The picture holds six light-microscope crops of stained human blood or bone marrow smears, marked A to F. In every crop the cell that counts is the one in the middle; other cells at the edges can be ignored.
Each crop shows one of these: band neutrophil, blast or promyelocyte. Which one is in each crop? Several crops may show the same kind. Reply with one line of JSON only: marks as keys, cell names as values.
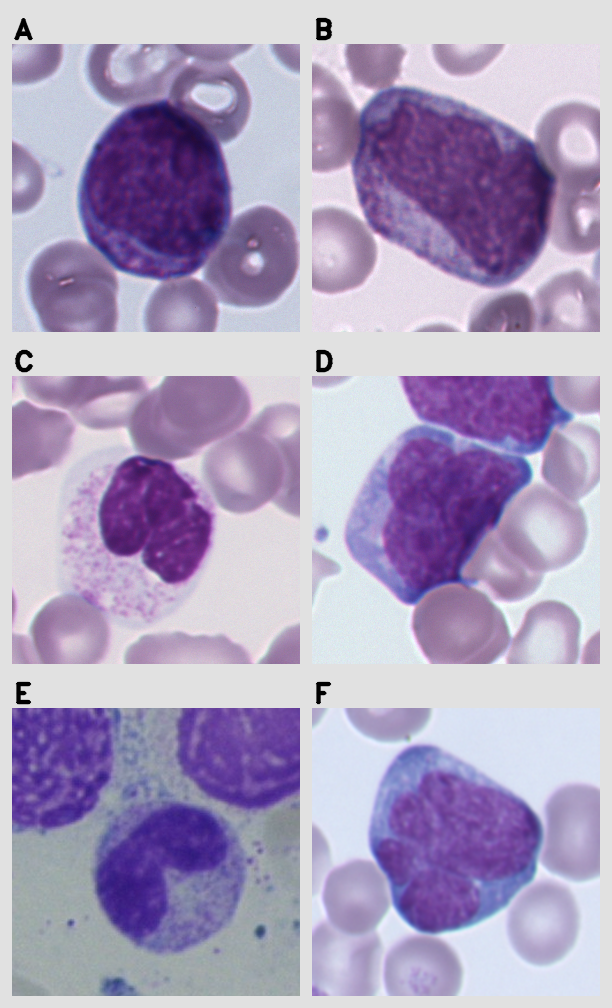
{"A": "promyelocyte", "B": "promyelocyte", "C": "band neutrophil", "D": "blast", "E": "band neutrophil", "F": "blast"}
